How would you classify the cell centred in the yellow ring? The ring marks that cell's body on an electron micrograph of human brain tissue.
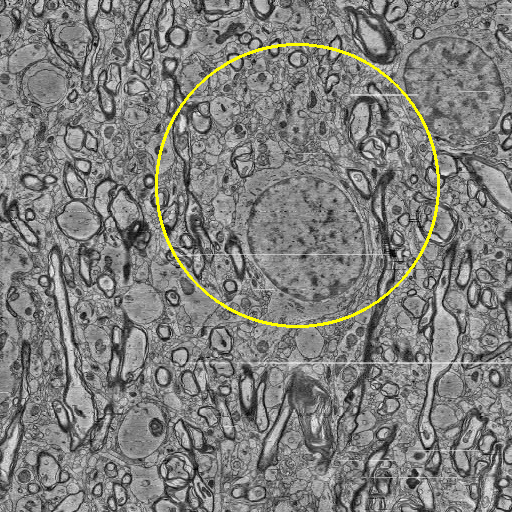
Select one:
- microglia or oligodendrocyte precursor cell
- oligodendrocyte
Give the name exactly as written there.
microglia or oligodendrocyte precursor cell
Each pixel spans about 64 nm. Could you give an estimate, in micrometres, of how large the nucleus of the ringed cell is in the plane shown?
Approximately 8 x 7 micrometres in this plane.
